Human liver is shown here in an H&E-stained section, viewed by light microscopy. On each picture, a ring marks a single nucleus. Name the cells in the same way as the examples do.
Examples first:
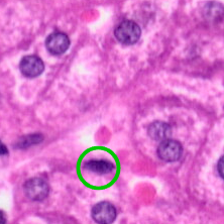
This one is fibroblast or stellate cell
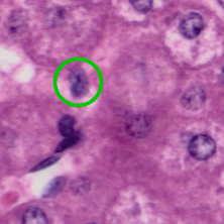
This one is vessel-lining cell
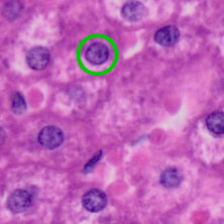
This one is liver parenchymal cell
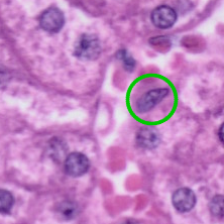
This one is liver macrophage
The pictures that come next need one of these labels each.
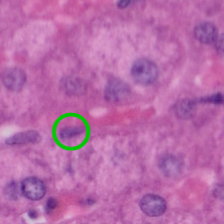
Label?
fibroblast or stellate cell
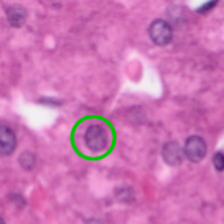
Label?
liver parenchymal cell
